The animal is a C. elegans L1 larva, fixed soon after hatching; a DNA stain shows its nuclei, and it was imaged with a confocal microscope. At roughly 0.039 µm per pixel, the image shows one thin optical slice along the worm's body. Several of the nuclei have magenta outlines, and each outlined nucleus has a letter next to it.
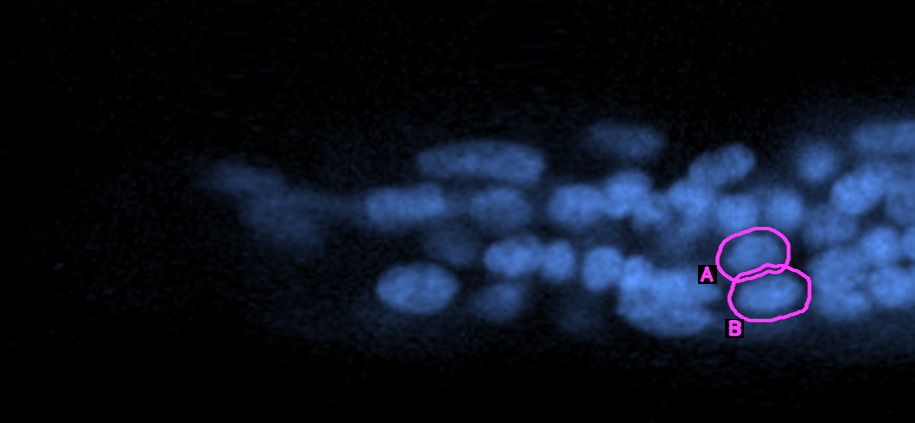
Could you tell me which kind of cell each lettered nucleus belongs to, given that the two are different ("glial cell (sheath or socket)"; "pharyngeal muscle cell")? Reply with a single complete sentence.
Nucleus A comes from a pharyngeal muscle cell and nucleus B from a glial cell (sheath or socket).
